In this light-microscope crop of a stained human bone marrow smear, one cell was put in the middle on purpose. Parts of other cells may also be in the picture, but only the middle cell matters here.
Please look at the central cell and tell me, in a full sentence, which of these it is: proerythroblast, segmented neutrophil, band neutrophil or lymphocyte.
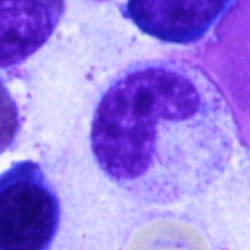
In the center of this field lies a band neutrophil.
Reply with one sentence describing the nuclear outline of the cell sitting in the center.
A single compact nucleus is present, shaped round, oval or like a kidney.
